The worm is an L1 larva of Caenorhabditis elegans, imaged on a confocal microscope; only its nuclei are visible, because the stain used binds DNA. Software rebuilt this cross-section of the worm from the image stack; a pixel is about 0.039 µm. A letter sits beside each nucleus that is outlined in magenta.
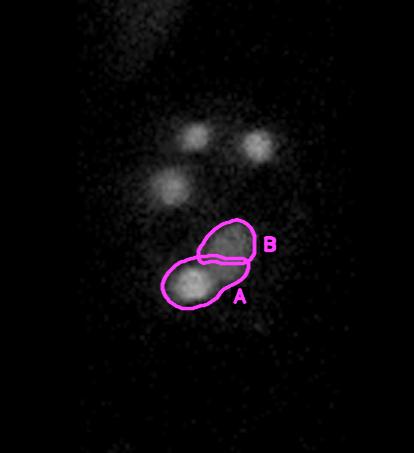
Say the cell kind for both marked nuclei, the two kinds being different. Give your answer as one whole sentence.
One is from a body wall muscle cell, namely A, and the other, B, is from an intestinal cell.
